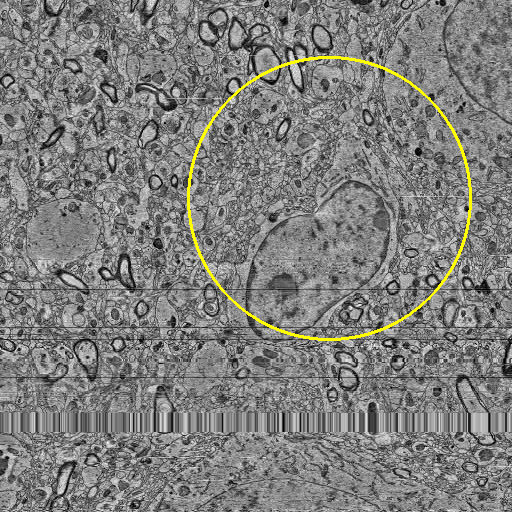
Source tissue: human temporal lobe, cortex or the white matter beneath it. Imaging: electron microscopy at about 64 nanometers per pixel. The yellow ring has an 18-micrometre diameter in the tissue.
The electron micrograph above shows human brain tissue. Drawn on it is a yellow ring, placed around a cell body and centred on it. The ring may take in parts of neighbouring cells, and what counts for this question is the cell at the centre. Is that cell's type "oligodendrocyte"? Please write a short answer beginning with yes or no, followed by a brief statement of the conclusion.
No, its type is another one.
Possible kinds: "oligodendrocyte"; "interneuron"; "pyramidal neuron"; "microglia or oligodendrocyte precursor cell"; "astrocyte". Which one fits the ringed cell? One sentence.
That cell in the ring is a microglial cell or oligodendrocyte precursor cell instead.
